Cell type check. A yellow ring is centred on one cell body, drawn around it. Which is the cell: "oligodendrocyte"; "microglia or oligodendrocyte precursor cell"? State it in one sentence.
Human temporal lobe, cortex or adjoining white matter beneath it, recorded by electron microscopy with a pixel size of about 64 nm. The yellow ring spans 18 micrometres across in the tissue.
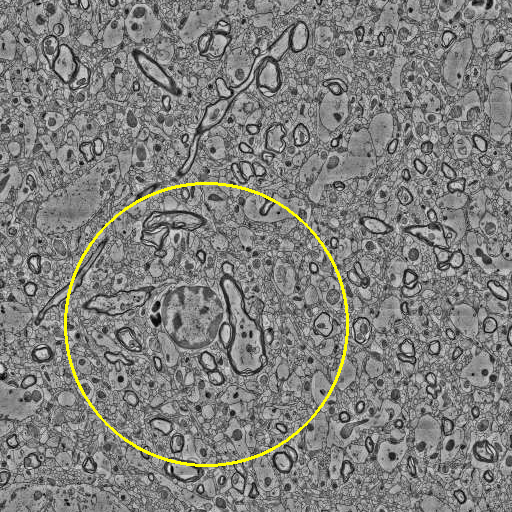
The cell body at the ring's centre belongs to a microglial cell or oligodendrocyte precursor cell.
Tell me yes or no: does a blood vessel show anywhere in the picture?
No, there is none.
